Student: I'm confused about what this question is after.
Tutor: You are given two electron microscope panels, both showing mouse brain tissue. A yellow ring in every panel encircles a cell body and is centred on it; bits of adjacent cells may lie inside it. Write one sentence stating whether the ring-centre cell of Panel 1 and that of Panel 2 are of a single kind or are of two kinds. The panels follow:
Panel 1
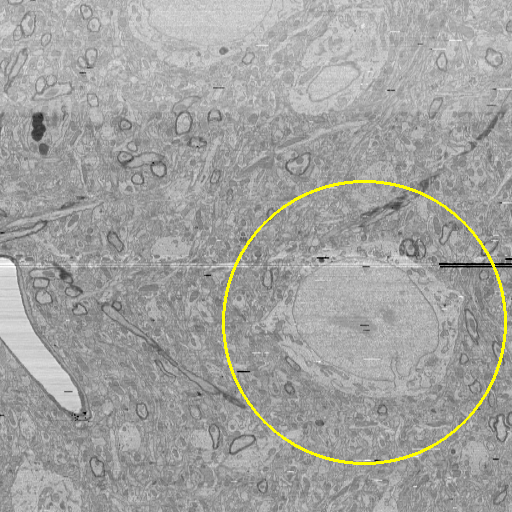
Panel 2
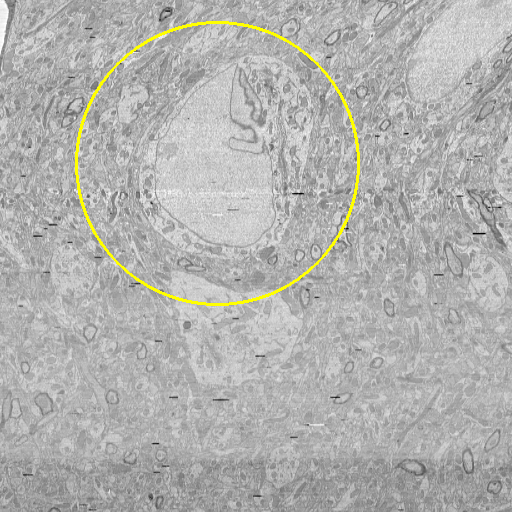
Here, the Panel 1 ring-centre cell and the Panel 2 ring-centre cell are of a single kind.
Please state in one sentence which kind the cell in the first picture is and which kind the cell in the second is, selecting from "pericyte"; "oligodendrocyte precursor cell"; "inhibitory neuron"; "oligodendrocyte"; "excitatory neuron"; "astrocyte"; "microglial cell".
The ring centre holds an inhibitory neuron in each of the two pictures.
